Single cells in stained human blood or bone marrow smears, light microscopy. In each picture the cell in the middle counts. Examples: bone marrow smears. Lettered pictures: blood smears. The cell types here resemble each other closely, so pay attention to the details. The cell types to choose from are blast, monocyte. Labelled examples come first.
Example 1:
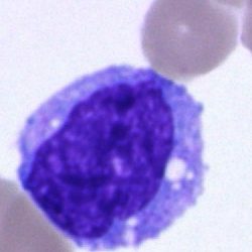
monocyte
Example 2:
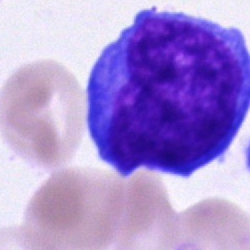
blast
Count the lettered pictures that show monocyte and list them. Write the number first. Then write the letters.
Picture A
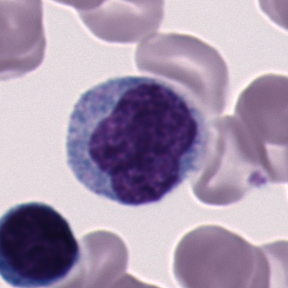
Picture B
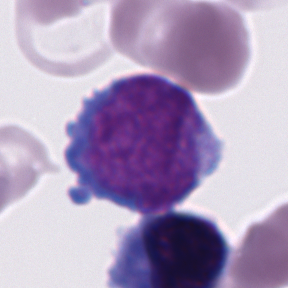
Count: 1 (A)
